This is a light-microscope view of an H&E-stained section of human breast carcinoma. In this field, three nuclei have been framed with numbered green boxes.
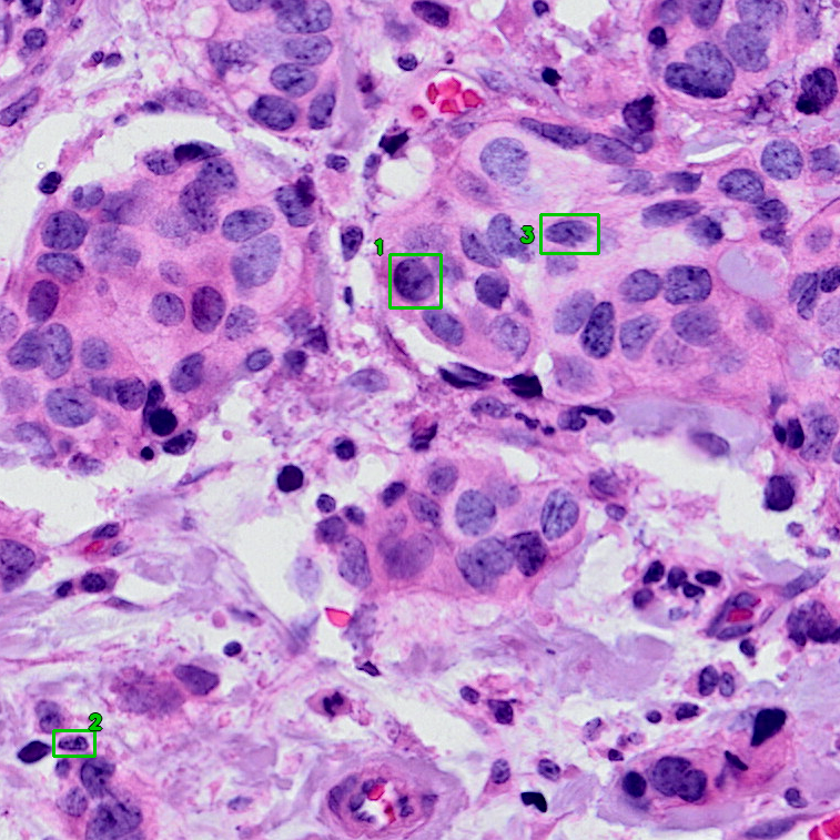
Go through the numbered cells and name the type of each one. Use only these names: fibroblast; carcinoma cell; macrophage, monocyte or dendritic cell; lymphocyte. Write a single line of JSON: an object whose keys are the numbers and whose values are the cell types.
{"1": "carcinoma cell", "2": "lymphocyte", "3": "carcinoma cell"}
